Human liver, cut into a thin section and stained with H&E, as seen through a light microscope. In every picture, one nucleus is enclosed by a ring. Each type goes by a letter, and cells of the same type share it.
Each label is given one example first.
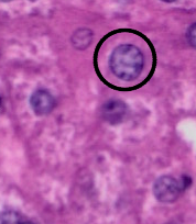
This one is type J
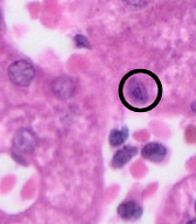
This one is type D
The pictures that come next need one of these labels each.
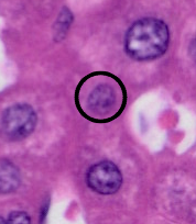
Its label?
type J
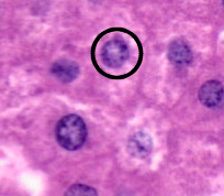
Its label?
type J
